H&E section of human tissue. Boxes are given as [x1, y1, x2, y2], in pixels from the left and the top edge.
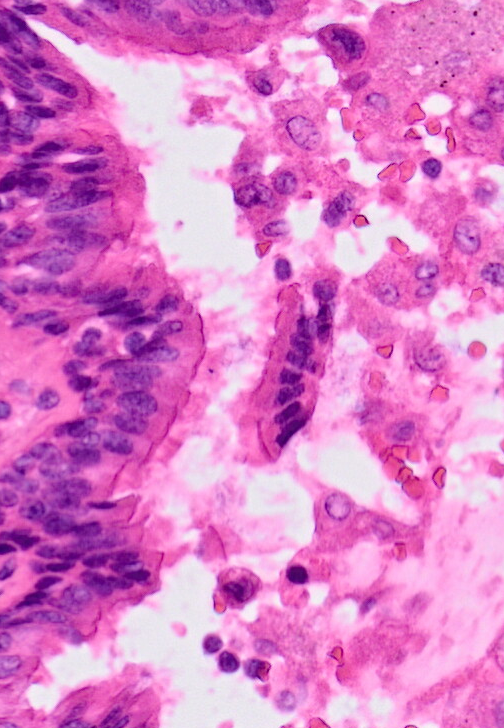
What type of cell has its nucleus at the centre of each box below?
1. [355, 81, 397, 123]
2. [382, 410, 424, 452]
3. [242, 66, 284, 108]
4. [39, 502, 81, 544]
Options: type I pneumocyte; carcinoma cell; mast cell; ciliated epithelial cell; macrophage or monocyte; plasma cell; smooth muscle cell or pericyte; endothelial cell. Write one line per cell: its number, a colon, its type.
1: macrophage or monocyte
2: macrophage or monocyte
3: macrophage or monocyte
4: ciliated epithelial cell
